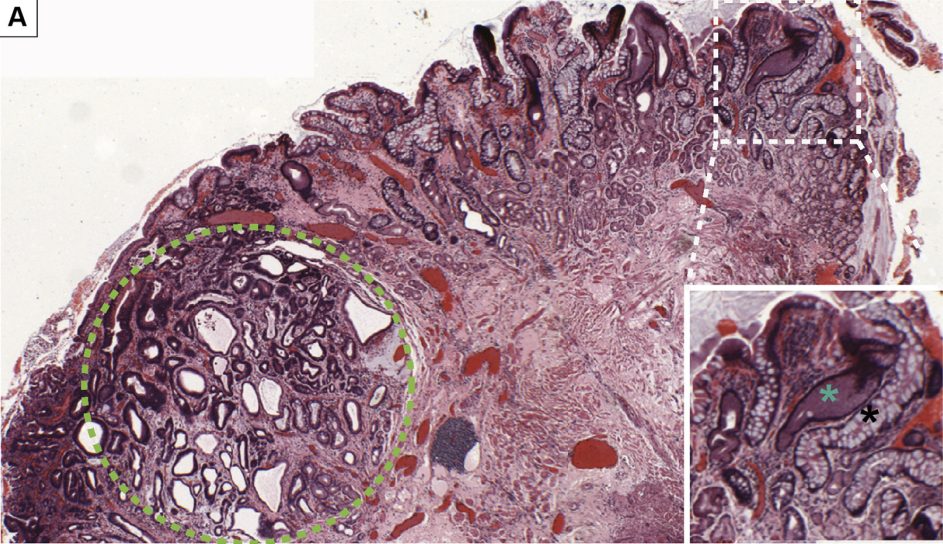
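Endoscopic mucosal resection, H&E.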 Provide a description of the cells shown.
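Near the surface, elongated, fairly orderly glands are lined by columnar epithelium. Many of them contain pale, rounded goblet-like vacuoles, while others have a uniform mucous lining without such vacuoles. To the left, a rounded area holds crowded, irregular glands of varying size. Deeper down, pink fibrous and muscular tissue contains vessels filled with red blood.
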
